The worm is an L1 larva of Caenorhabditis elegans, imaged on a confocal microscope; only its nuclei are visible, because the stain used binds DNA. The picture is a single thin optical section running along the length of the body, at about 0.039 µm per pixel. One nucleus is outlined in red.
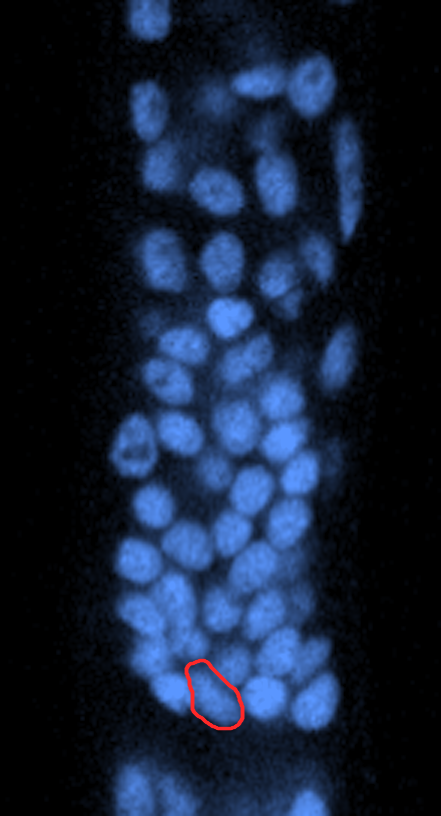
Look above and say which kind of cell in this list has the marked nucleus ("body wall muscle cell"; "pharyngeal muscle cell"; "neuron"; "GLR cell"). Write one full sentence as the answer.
It belongs to a GLR cell.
